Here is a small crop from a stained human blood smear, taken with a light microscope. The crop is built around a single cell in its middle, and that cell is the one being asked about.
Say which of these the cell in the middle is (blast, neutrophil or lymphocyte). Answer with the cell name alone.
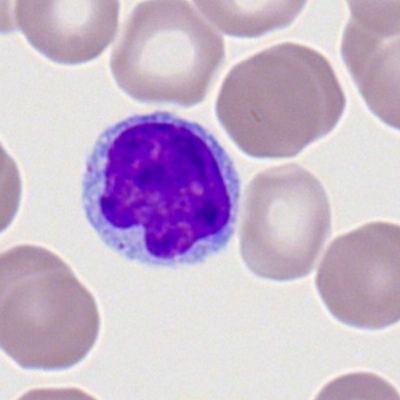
lymphocyte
